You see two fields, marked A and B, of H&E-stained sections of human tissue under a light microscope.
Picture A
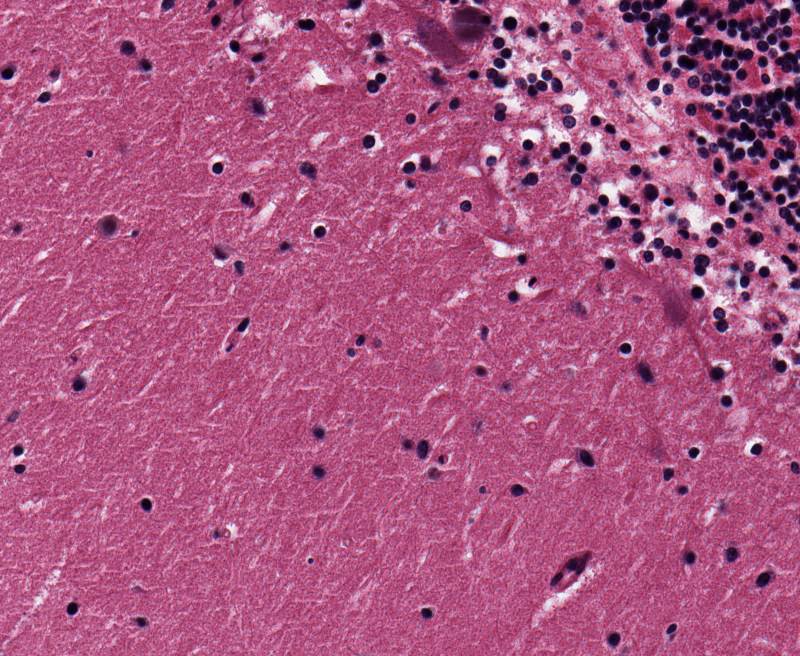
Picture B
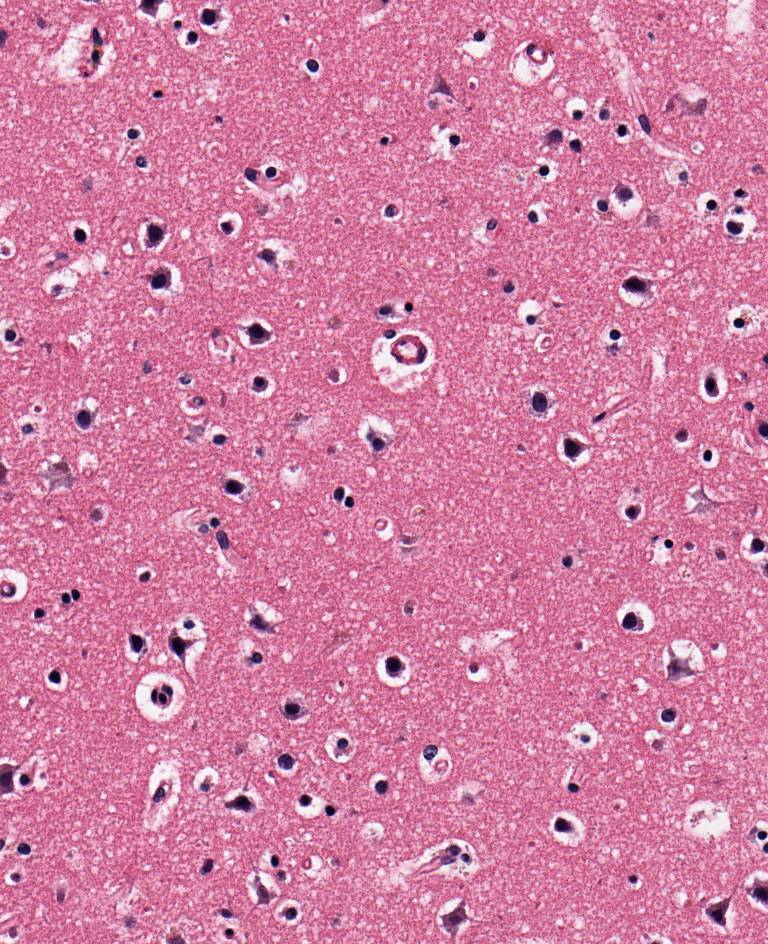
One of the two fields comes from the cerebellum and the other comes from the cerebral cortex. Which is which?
A: cerebellum
B: cerebral cortex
